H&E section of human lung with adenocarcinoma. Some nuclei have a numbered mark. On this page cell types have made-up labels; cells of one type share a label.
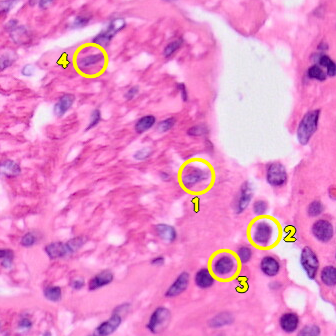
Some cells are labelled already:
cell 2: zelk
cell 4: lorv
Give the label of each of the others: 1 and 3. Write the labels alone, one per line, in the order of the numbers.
lorv
zelk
